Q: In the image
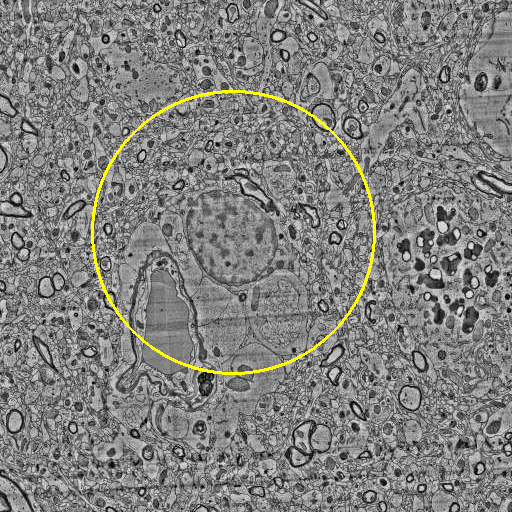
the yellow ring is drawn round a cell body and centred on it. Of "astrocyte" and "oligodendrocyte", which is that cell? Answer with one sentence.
The cell centred in the ring is an oligodendrocyte.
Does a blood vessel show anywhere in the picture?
Yes, a vessel shows somewhere in the image.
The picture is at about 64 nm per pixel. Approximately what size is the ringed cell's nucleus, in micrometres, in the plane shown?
In this plane the nucleus measures roughly 7 by 6 micrometres.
